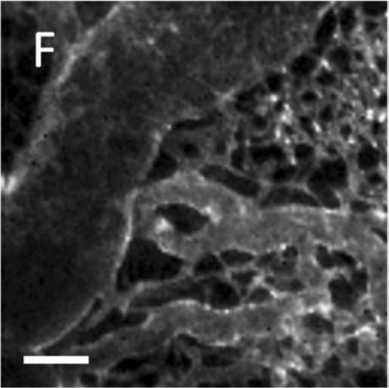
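Toward one side the meshwork becomes denser and finer, with small bright dots and short segments, while a large, diffusely bright band crosses the lower part. A smoother, dimmer region with a curving edge lies at the upper left.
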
